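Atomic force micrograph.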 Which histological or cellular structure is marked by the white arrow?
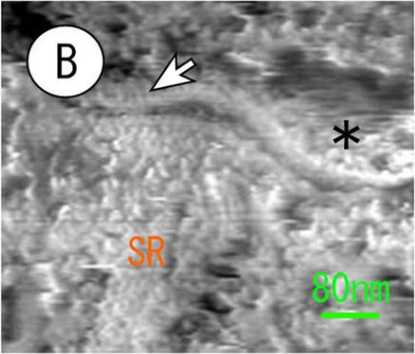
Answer: trans-membrane particles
